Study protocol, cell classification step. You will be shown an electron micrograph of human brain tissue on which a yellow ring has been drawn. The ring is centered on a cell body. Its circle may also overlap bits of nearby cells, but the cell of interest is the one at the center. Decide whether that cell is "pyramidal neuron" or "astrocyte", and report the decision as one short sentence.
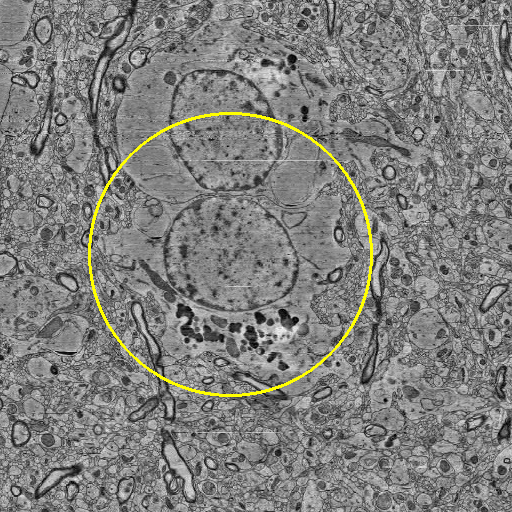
The marked cell is an astrocyte.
